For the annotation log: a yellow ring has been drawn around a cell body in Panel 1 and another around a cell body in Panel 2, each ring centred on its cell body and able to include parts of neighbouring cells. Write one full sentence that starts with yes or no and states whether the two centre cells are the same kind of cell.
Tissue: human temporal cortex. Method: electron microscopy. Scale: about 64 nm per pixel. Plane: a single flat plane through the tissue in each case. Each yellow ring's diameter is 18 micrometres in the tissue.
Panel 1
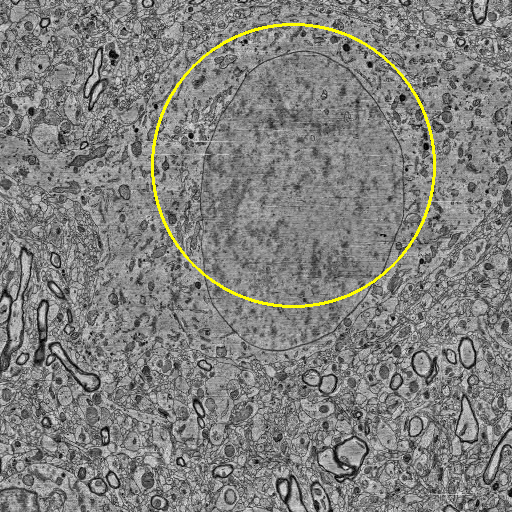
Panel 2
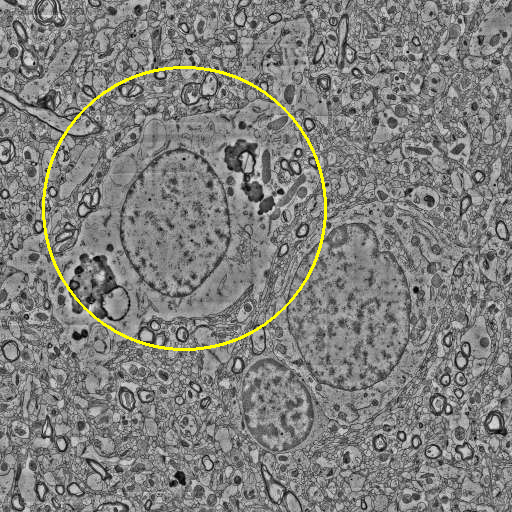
No, the two centre cells are two kinds of cell.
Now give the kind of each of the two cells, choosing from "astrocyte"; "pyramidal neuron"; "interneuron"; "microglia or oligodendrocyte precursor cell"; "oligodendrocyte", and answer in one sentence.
The cell in the first picture is a pyramidal neuron, and the cell in the second is an astrocyte.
